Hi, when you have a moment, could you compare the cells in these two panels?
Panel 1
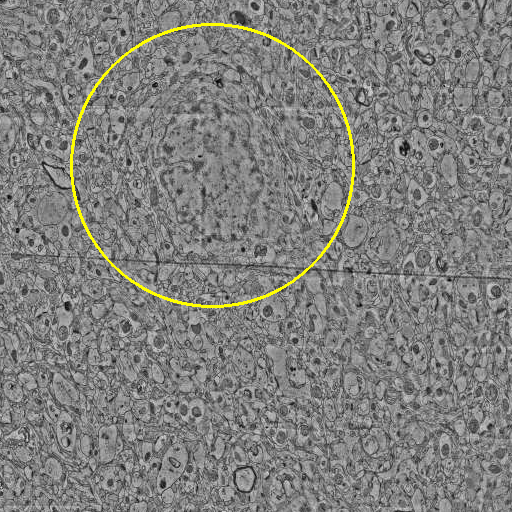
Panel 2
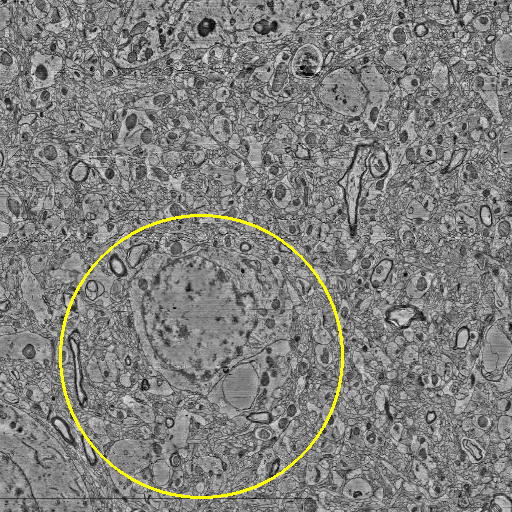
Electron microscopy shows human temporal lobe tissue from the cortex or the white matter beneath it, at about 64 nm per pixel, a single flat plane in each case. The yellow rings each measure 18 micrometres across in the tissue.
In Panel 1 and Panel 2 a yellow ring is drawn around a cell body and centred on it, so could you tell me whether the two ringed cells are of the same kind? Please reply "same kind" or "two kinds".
same kind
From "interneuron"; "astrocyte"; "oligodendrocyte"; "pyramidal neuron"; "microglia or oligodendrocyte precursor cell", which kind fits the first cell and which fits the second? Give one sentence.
The cell at the ring centre is an interneuron in both pictures.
